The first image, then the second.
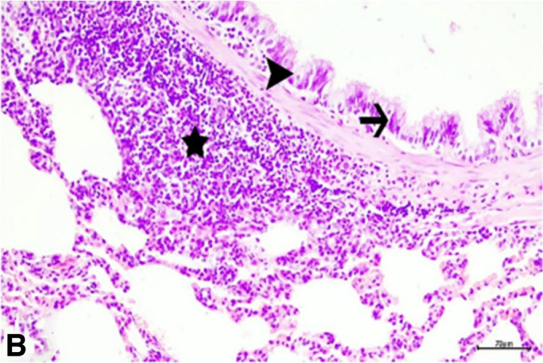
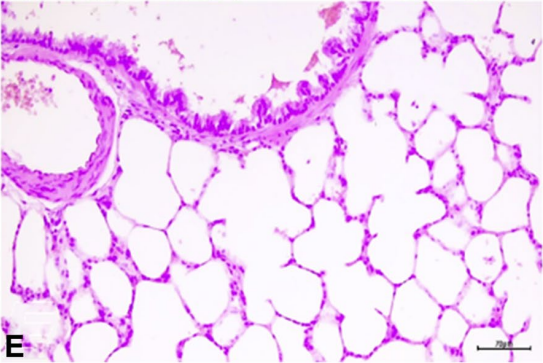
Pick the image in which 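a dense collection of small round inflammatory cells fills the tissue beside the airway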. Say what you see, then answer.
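Second image: the airway wall is thin and the surrounding alveoli have thin walls with no cell clusters. First image: a large sheet of small dark-nucleated round cells lies beneath the airway lining. That points to this answer: the first image.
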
